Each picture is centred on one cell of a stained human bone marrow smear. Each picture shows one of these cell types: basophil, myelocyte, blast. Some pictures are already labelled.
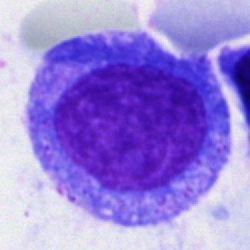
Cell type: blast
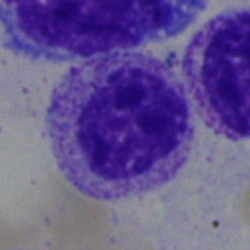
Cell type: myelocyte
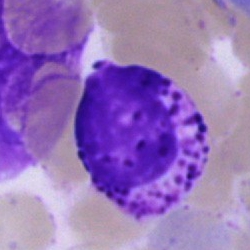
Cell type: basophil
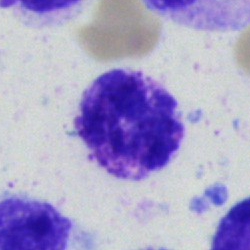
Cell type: basophil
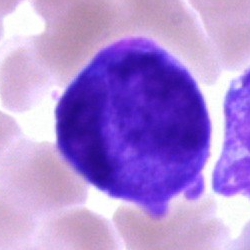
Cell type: blast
